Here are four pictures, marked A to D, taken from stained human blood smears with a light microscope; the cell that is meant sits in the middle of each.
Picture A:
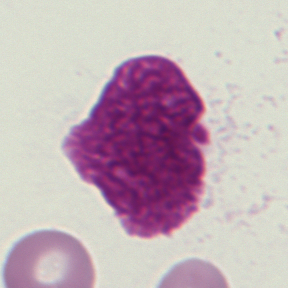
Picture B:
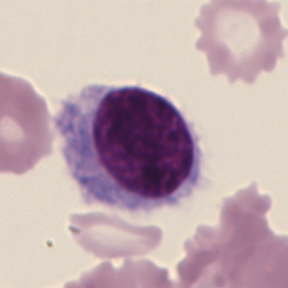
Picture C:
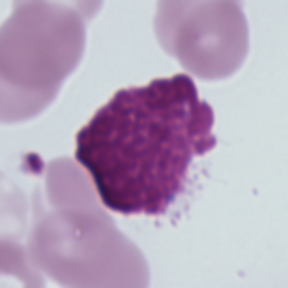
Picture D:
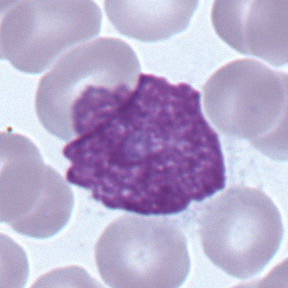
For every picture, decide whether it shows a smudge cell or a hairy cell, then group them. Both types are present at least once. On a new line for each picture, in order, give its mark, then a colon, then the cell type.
A: smudge cell
B: hairy cell
C: smudge cell
D: smudge cell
